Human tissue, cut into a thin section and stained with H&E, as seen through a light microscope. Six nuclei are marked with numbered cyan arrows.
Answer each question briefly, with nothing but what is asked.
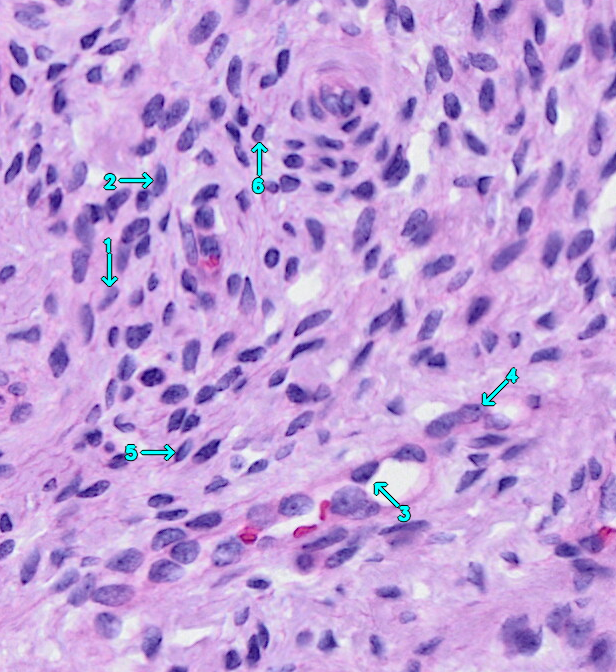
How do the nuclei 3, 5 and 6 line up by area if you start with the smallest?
6, 5, 3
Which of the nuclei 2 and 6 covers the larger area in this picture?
2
